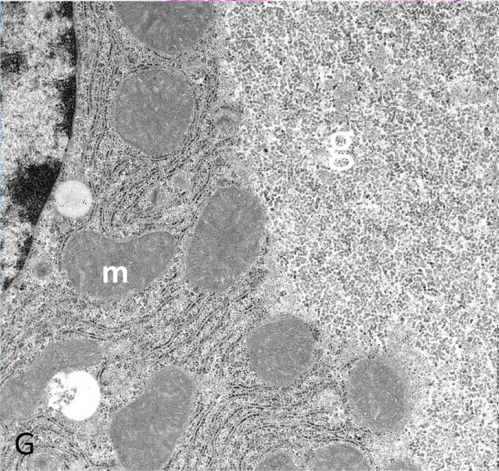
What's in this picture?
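Here is part of a hepatocyte seen by electron microscopy. At the upper left is the edge of the nucleus with dark clumps of chromatin. Beside it lie oval mitochondria with internal cristae, surrounded by parallel stacks of rough endoplasmic reticulum. Most of the right side of the picture is filled by a uniform field of countless tiny dark granules, the glycogen particles, with no other organelles among them. The mitochondria and membranes are crowded together into a narrow zone instead of being spread through the cytoplasm, as if pushed aside by the mass of granules.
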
